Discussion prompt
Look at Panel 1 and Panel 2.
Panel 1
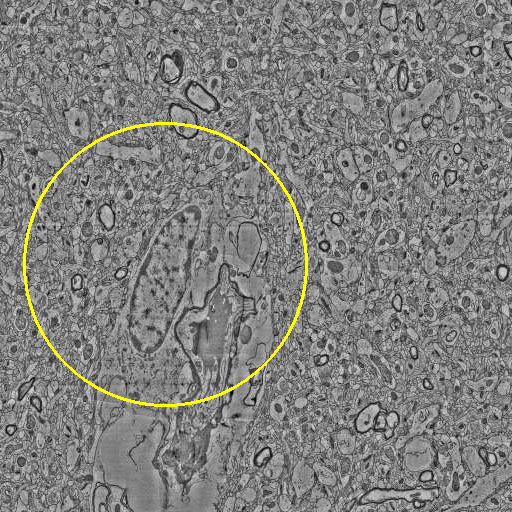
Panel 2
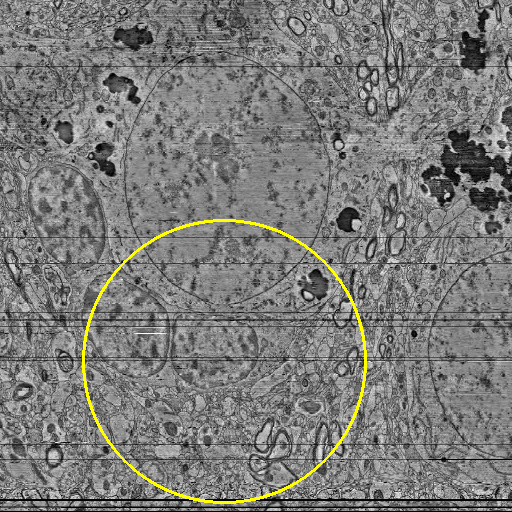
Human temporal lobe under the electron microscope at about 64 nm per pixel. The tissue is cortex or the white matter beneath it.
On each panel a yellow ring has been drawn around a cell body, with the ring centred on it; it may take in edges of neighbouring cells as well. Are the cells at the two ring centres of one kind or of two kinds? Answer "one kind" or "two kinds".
two kinds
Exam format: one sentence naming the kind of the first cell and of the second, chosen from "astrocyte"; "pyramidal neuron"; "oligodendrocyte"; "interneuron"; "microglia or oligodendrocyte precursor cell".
The first picture's cell is a microglial cell or oligodendrocyte precursor cell, and the second picture's cell is an oligodendrocyte.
